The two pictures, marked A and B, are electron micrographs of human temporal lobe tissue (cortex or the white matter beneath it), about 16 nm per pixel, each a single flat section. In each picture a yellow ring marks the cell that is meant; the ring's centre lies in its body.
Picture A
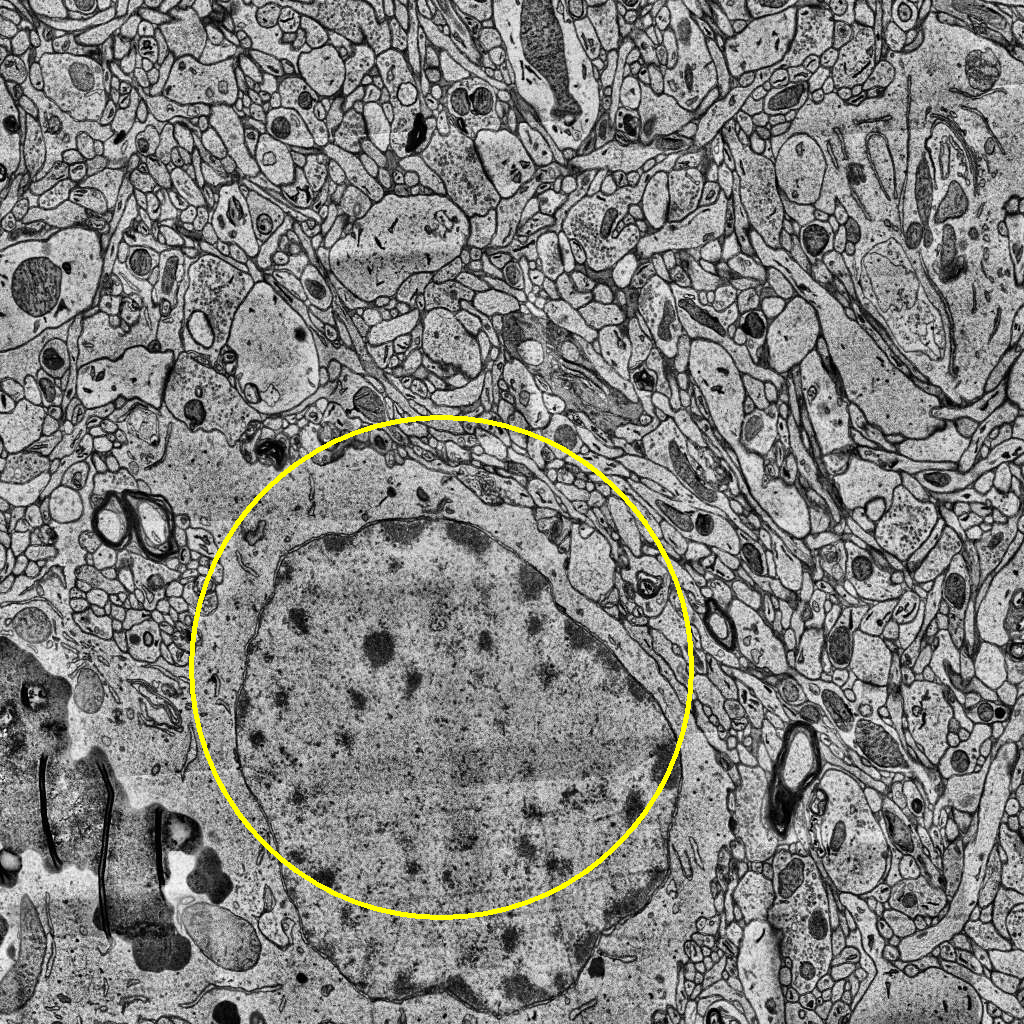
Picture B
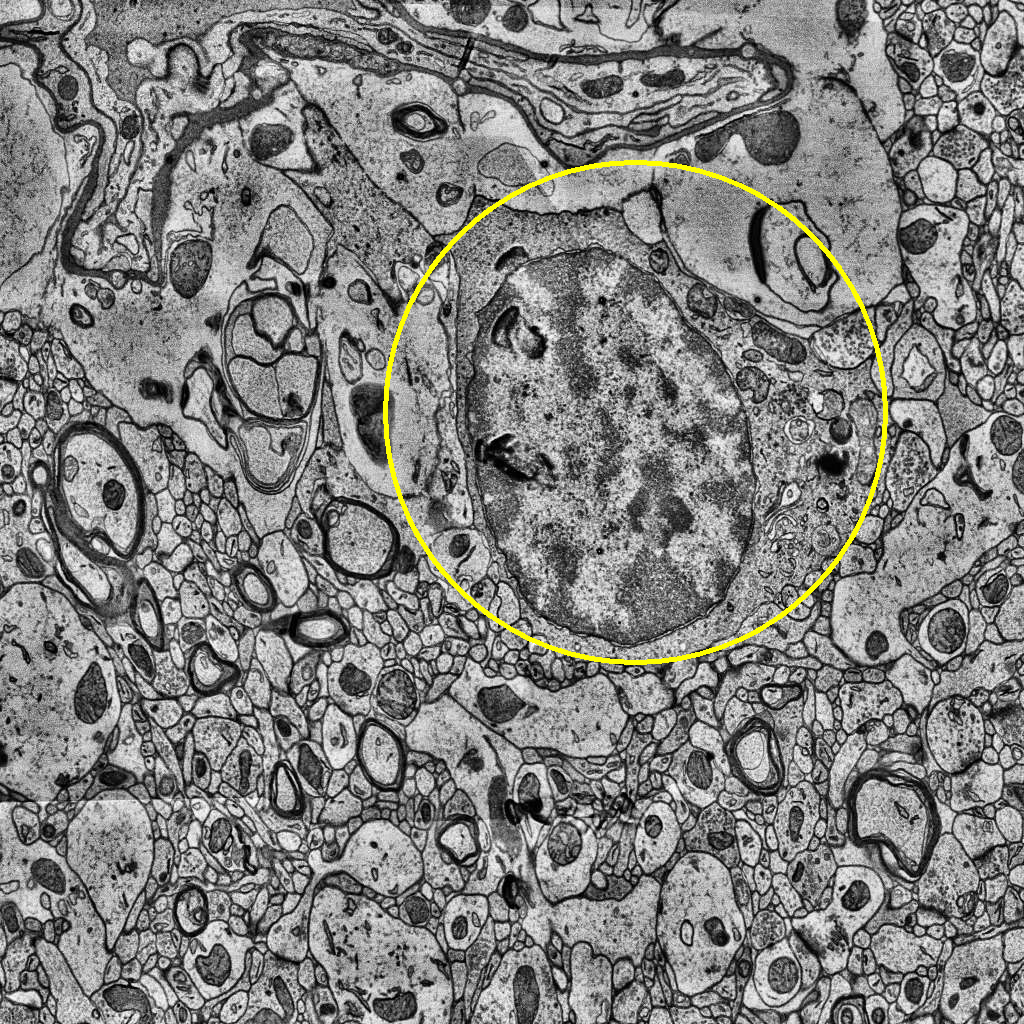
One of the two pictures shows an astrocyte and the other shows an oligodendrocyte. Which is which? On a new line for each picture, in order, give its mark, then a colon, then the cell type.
A: astrocyte
B: oligodendrocyte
